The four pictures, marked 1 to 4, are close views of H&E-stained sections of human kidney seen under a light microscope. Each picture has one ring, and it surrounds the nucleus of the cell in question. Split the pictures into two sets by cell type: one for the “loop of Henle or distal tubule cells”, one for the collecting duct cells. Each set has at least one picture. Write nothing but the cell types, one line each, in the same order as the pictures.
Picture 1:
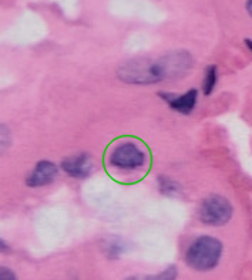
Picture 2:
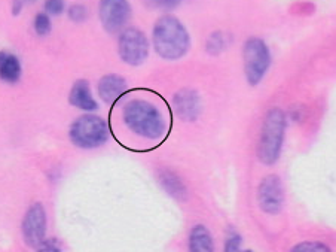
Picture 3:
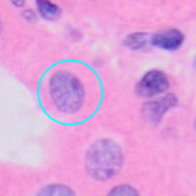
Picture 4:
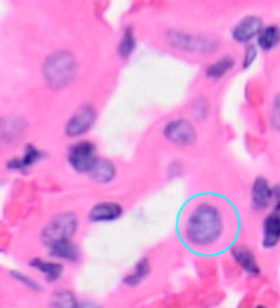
loop of Henle or distal tubule cell
collecting duct cell
loop of Henle or distal tubule cell
collecting duct cell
